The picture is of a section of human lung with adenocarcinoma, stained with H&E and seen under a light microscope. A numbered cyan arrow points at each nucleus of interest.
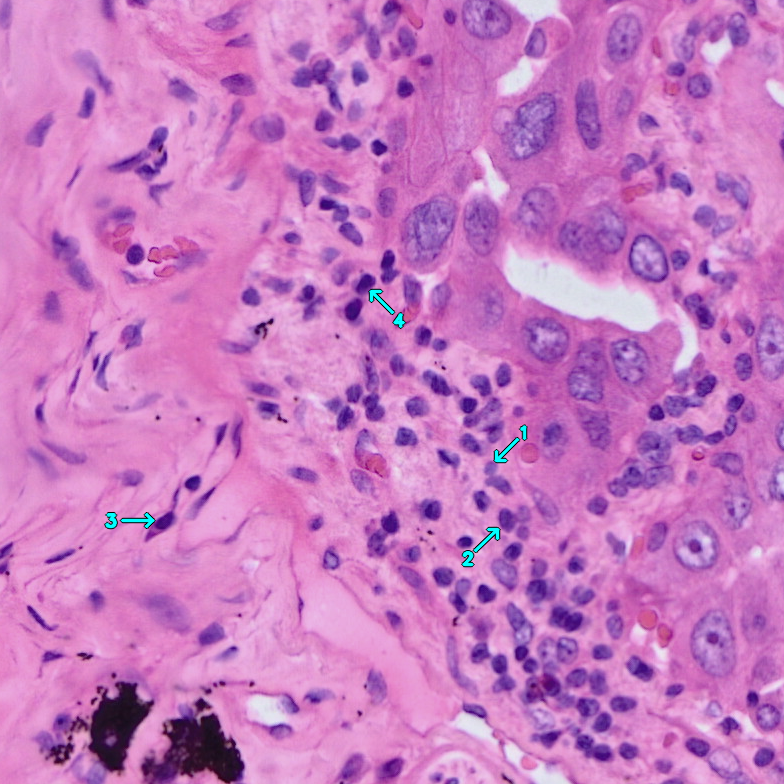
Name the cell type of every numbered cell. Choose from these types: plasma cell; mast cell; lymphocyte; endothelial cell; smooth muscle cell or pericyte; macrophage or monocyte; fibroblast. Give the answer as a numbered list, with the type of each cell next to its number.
1. lymphocyte
2. lymphocyte
3. plasma cell
4. lymphocyte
